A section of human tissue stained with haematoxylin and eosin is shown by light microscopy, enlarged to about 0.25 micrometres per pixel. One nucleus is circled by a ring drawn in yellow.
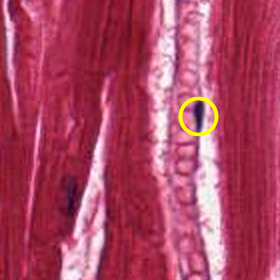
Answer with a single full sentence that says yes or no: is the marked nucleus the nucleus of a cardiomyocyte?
No, the nucleus that is marked belongs to a supporting cell rather than to a cardiomyocyte.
